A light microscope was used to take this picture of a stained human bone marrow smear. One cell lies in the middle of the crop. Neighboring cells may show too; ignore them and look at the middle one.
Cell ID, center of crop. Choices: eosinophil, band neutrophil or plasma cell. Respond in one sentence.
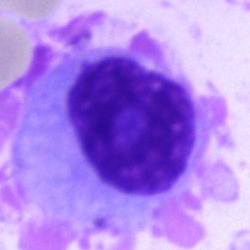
The middle of this crop is occupied by a plasma cell.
